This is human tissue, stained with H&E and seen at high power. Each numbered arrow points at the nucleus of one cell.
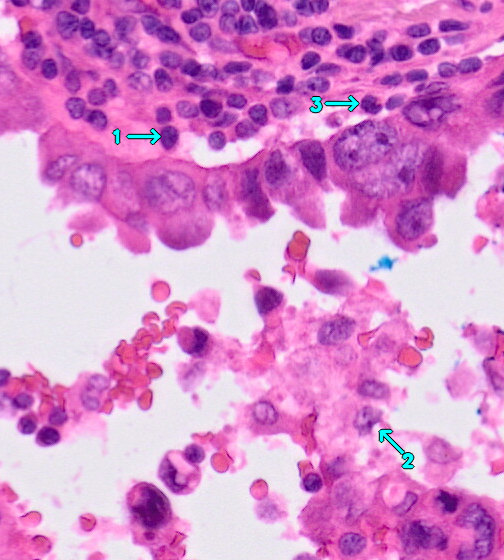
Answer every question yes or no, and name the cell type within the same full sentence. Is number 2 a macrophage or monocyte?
Yes, number 2 in this section denotes a macrophage or monocyte.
